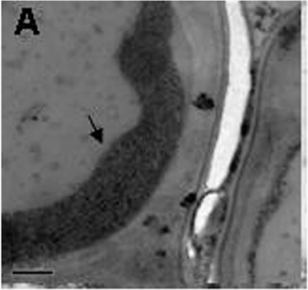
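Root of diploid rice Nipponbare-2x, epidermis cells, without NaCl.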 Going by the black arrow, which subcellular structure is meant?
Abundant cytoplasm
